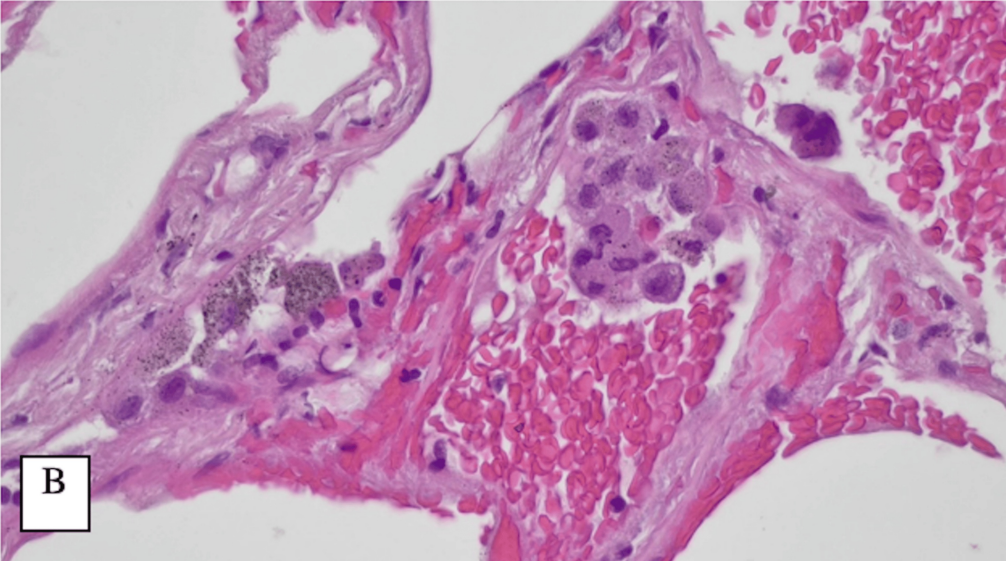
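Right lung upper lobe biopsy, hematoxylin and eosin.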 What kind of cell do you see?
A: Pigment-laden macrophages.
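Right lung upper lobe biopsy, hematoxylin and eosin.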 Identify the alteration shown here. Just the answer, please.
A: Foci of hemorrhage.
